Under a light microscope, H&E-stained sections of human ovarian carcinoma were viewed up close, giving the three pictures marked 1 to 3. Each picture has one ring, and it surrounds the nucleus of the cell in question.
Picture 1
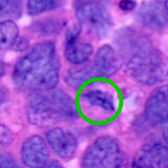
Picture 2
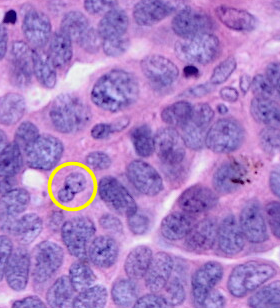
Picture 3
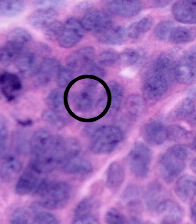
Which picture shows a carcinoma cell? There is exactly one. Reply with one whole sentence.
The carcinoma cell is the one in picture 3.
